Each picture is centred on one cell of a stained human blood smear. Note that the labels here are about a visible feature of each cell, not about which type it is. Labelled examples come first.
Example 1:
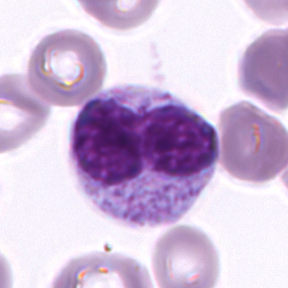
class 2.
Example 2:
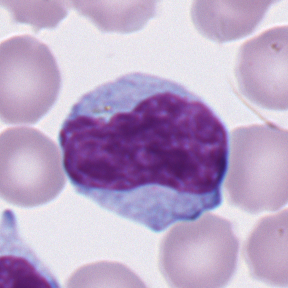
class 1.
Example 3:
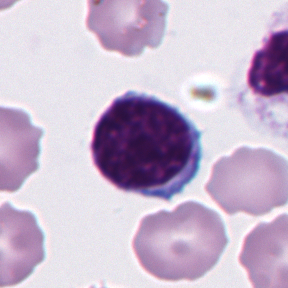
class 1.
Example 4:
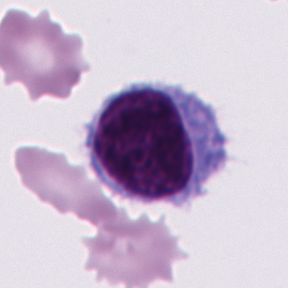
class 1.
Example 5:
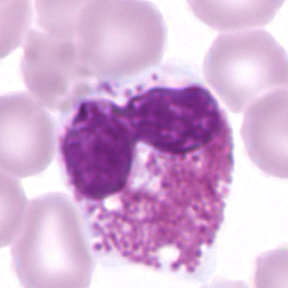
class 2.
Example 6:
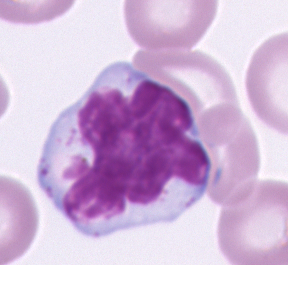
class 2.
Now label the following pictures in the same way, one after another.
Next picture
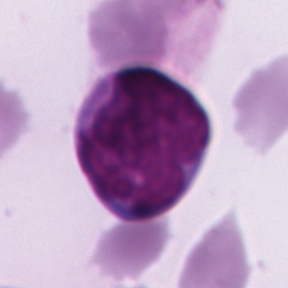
class 1.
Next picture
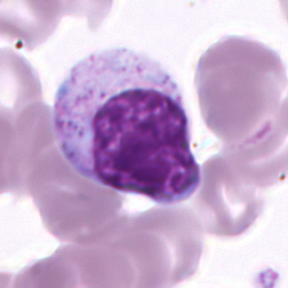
class 1.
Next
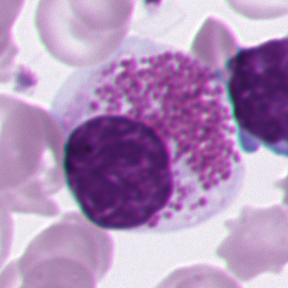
class 1.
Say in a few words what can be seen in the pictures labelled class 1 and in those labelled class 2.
In class 1: single compact nucleus. In class 2: lobed nucleus.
